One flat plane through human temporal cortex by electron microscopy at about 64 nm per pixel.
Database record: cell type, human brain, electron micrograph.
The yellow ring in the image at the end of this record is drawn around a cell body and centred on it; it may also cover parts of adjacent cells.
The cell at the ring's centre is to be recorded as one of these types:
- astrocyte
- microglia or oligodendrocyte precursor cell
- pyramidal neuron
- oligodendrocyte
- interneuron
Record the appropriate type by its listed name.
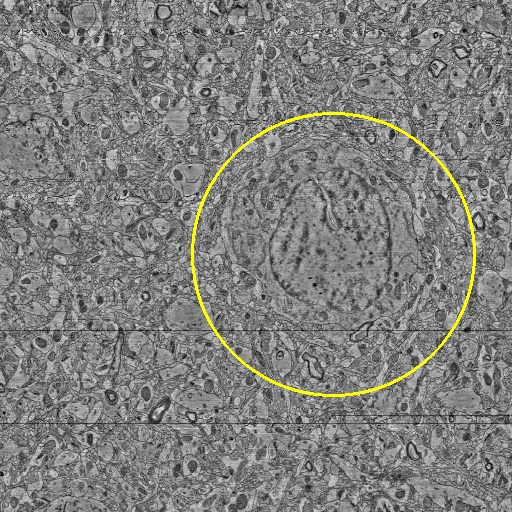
interneuron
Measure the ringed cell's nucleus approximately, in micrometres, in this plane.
Approximately 10 micrometres long and 8 micrometres wide, in this plane.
